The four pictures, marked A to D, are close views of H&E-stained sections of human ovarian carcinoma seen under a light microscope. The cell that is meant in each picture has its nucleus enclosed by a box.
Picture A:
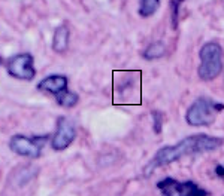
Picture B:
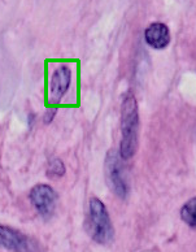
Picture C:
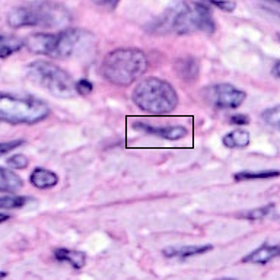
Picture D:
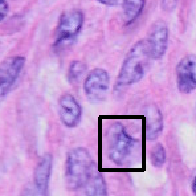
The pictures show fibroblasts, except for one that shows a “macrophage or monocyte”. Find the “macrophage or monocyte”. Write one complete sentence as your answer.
The “macrophage or monocyte” is the one in picture B.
